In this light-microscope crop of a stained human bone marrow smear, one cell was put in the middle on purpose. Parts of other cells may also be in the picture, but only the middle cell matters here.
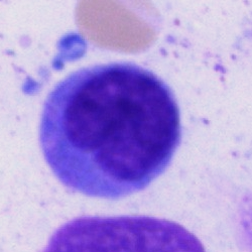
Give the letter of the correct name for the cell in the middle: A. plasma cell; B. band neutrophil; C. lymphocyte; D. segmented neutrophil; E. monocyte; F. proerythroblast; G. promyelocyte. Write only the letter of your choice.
E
